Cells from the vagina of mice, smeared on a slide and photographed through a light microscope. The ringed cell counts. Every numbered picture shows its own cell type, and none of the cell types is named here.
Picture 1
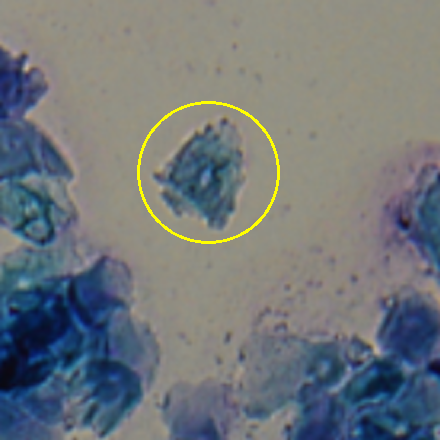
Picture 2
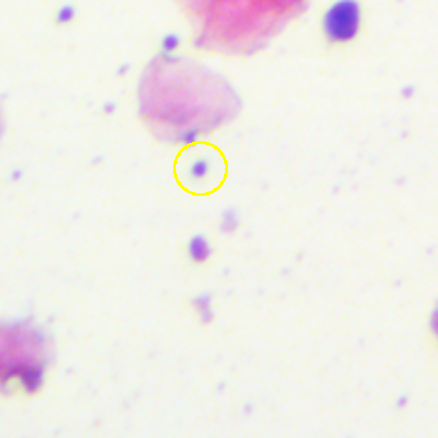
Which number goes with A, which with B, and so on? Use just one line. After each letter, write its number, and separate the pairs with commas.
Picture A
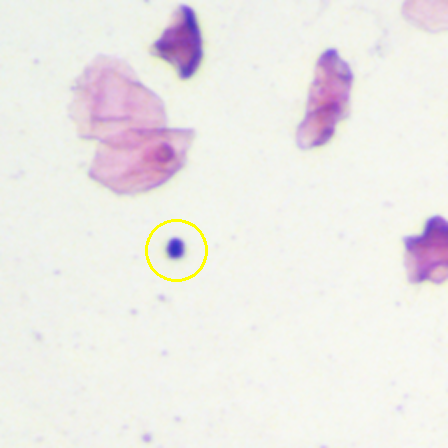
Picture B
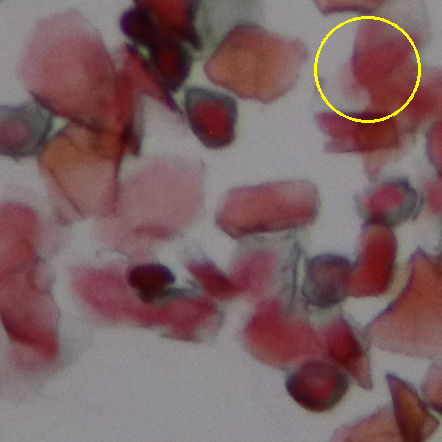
A 2, B 1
